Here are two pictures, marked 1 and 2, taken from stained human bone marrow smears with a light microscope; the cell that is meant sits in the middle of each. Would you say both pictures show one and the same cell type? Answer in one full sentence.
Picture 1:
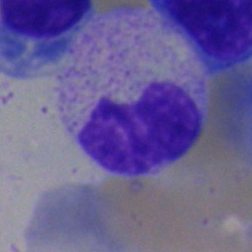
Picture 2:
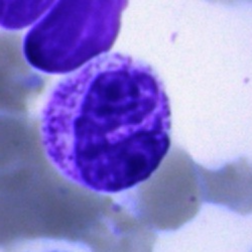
No, the types are not the same, since picture 1 shows a metamyelocyte and picture 2 a band neutrophil.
